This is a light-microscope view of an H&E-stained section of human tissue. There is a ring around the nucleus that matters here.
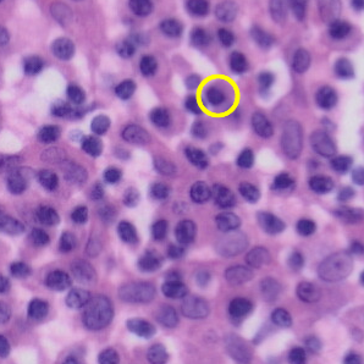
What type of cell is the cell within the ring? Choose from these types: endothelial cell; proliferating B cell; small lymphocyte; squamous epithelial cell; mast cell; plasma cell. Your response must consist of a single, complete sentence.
Among the cells in this section, the cell within the ring is a plasma cell.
